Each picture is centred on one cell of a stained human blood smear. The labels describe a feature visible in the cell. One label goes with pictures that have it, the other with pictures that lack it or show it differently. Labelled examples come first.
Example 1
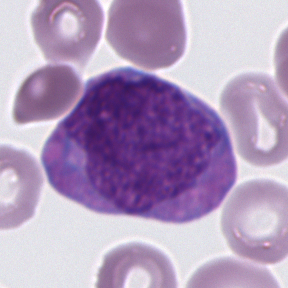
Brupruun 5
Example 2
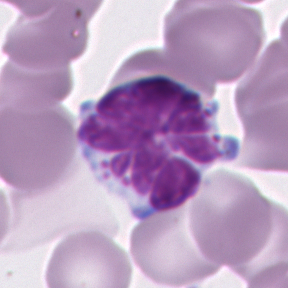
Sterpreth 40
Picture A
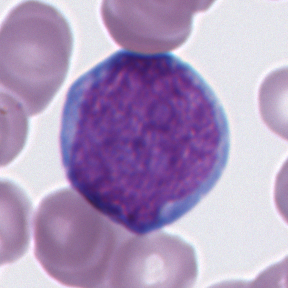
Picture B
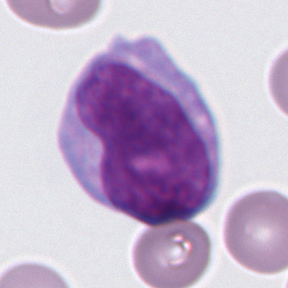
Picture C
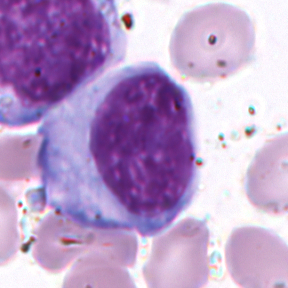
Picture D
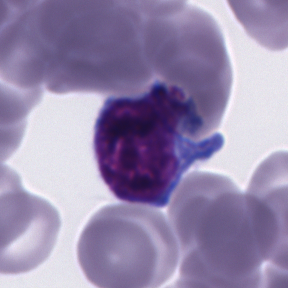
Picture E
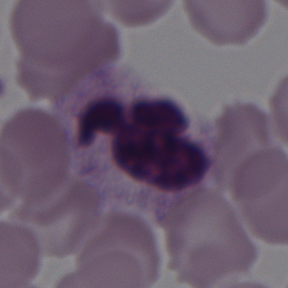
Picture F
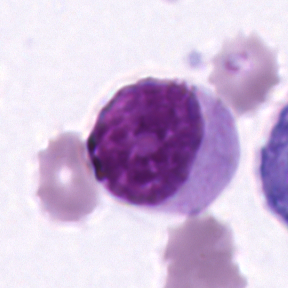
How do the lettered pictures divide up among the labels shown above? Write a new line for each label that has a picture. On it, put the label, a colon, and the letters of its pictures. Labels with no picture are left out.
Brupruun 5: A, C, F
Sterpreth 40: B, D, E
